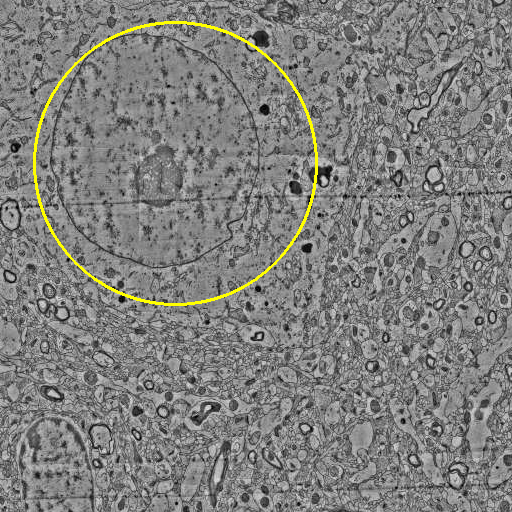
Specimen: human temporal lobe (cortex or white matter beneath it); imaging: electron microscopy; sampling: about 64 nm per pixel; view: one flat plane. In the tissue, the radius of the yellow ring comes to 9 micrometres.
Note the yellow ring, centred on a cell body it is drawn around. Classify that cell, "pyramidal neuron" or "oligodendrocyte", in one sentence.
The cell the ring is centred on is a pyramidal neuron.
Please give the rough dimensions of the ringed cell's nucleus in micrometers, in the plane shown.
Approximately 14 micrometres across, in this plane.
